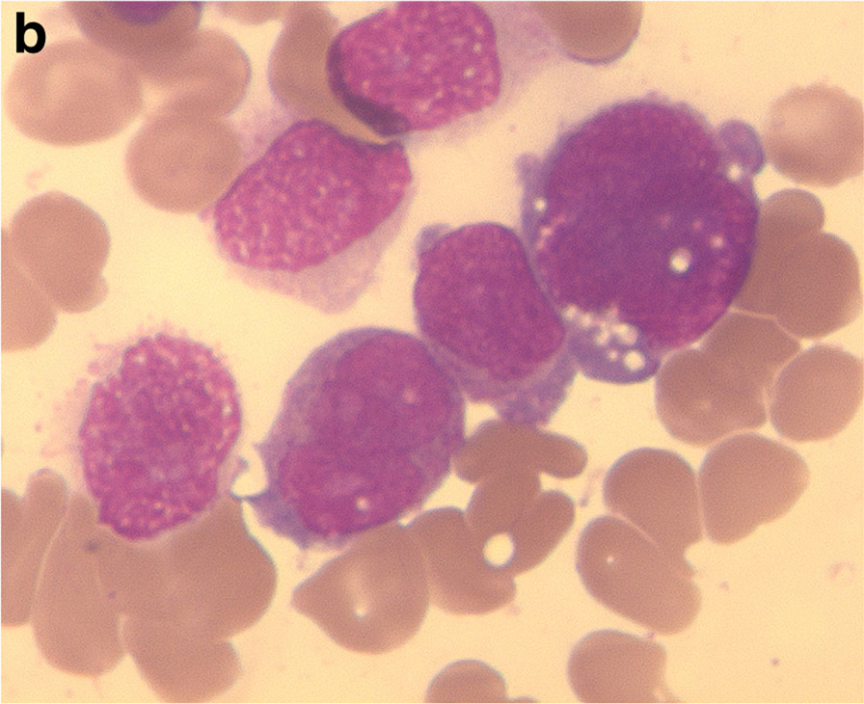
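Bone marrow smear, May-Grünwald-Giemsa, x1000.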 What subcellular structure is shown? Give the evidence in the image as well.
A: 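Oval or bilobated nucleus. Nuclei occupy most of each cell.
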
